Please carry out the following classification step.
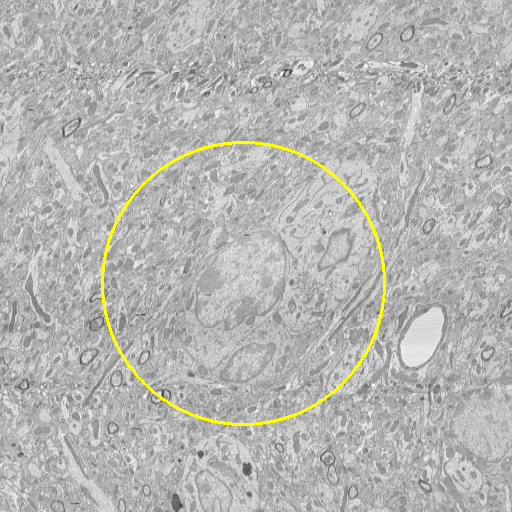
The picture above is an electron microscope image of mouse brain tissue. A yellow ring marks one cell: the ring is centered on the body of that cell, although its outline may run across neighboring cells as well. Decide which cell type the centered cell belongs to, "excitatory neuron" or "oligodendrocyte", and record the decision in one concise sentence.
The cell centered in the yellow ring is an oligodendrocyte.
